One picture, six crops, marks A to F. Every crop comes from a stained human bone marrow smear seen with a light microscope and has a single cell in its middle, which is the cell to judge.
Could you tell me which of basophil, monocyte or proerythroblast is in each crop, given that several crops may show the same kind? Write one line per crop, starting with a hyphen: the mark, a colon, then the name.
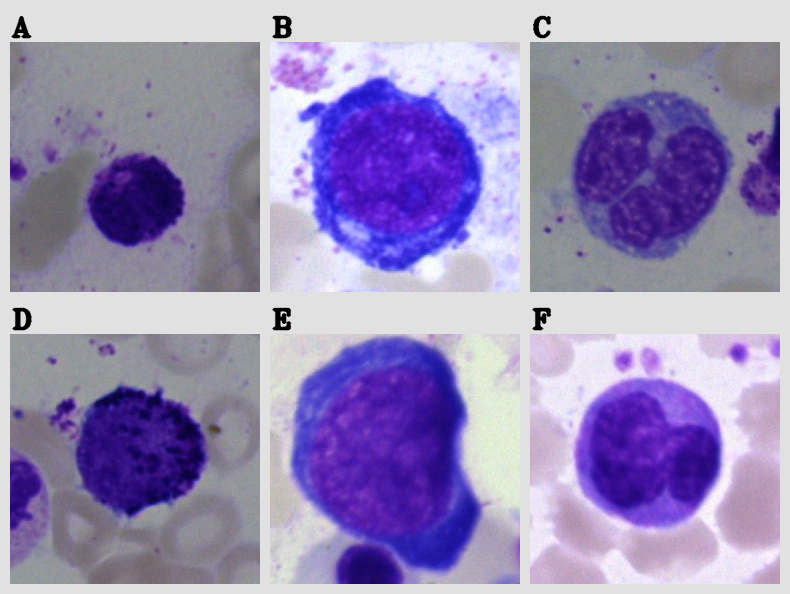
- A: basophil
- B: proerythroblast
- C: monocyte
- D: basophil
- E: proerythroblast
- F: monocyte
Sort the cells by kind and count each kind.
basophil: 2
proerythroblast: 2
monocyte: 2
